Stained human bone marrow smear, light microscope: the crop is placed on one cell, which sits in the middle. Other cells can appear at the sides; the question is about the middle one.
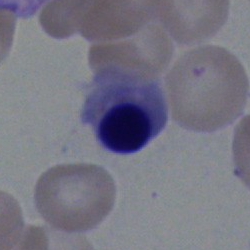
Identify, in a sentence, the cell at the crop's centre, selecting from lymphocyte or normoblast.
For this crop, the cell in the middle is a normoblast.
